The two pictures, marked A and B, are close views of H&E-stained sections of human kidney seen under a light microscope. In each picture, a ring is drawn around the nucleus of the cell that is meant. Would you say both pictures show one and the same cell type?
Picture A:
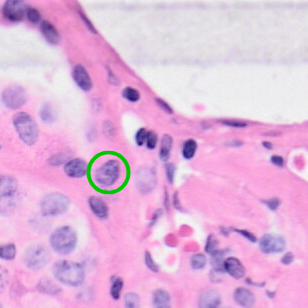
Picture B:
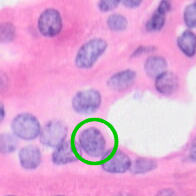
yes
